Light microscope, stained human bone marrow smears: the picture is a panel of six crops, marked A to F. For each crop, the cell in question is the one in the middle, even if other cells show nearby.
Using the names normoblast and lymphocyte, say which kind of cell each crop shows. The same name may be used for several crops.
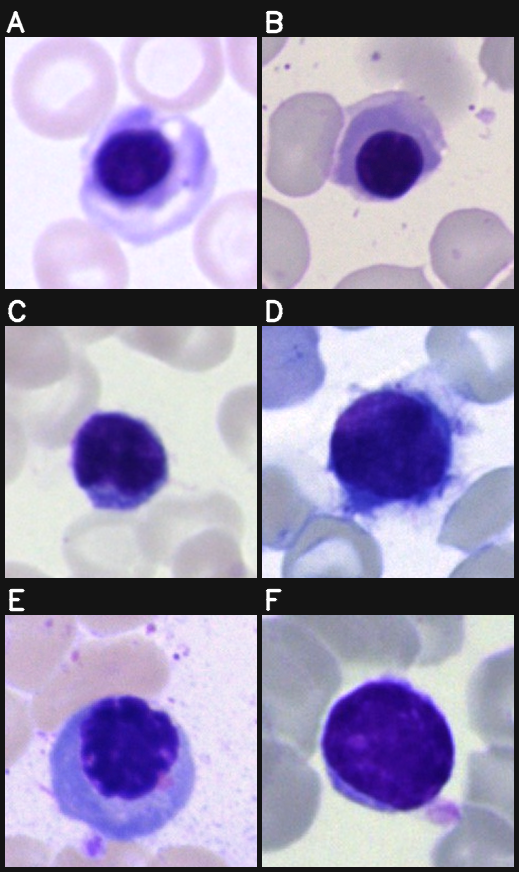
A: normoblast
B: normoblast
C: lymphocyte
D: lymphocyte
E: normoblast
F: lymphocyte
